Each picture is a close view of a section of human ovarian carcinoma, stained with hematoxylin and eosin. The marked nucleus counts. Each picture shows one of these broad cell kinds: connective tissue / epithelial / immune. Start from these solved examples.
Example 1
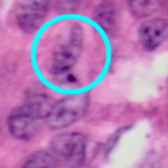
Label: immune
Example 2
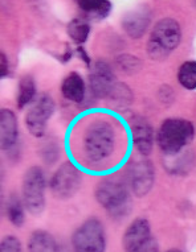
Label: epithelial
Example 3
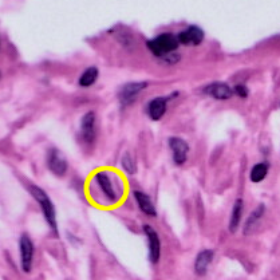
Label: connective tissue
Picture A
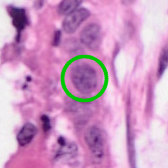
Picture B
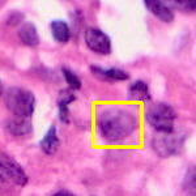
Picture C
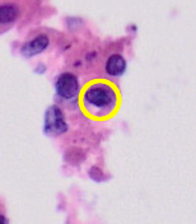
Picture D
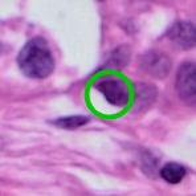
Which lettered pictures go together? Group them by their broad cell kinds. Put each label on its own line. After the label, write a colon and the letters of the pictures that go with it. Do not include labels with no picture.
epithelial: A, B, D
immune: C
